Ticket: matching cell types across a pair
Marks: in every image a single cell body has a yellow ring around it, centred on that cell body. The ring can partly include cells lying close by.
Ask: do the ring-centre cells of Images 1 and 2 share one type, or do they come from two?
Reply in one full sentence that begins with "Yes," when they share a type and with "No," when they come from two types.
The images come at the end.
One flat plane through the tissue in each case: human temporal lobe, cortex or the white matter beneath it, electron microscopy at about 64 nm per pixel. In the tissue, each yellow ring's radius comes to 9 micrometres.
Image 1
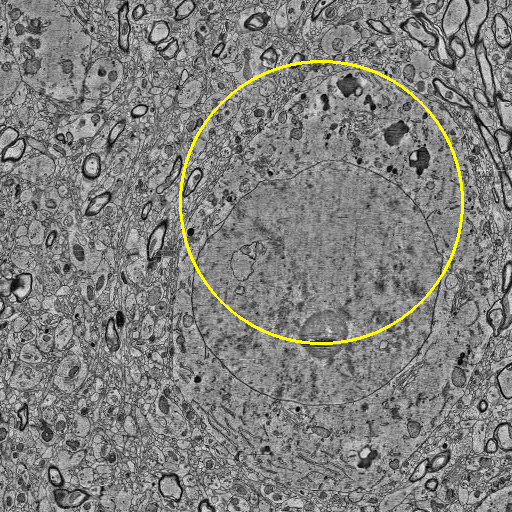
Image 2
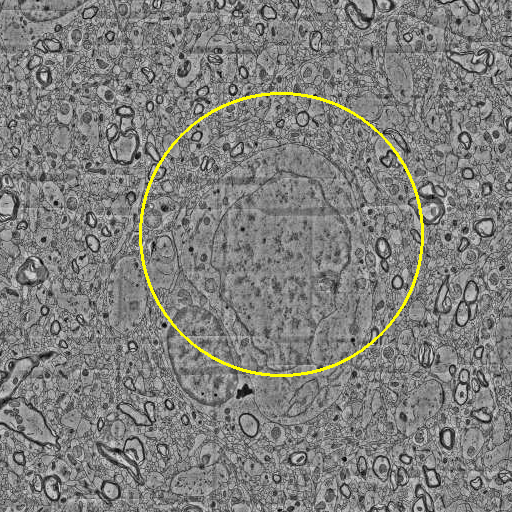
Yes, the cells in the centres of the rings in Image 1 and Image 2 share one type.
